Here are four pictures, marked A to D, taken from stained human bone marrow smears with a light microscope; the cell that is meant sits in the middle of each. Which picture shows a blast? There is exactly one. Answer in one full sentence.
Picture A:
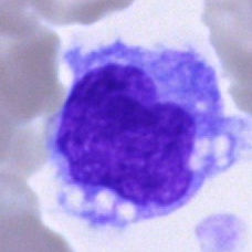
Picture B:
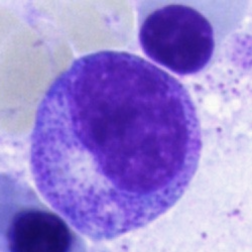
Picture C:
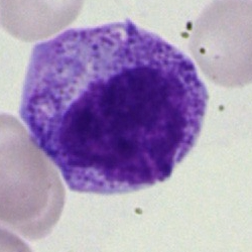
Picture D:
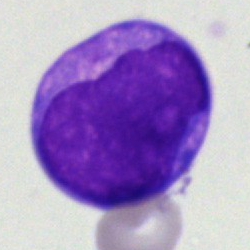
The cell in picture D is the blast.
